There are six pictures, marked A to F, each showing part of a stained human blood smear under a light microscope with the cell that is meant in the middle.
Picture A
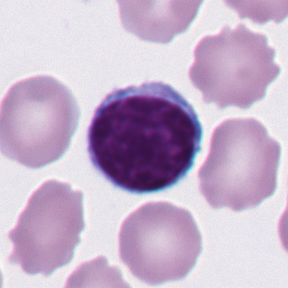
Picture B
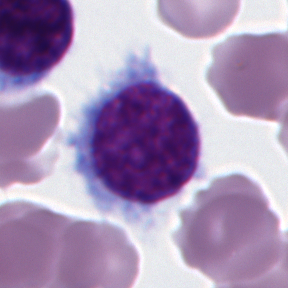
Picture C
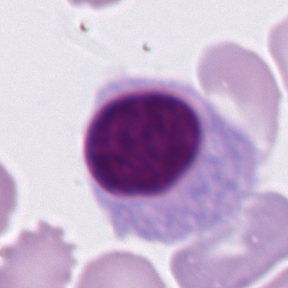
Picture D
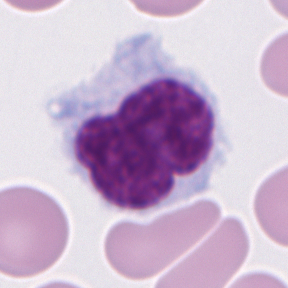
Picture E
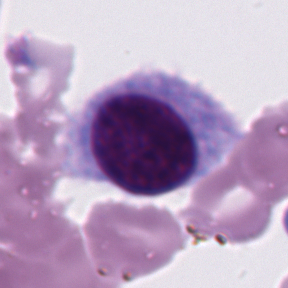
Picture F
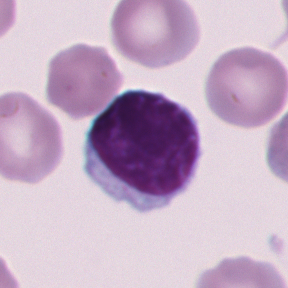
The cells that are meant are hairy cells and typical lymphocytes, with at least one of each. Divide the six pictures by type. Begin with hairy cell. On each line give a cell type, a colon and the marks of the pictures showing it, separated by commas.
hairy cell: B, C, D, E
typical lymphocyte: A, F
